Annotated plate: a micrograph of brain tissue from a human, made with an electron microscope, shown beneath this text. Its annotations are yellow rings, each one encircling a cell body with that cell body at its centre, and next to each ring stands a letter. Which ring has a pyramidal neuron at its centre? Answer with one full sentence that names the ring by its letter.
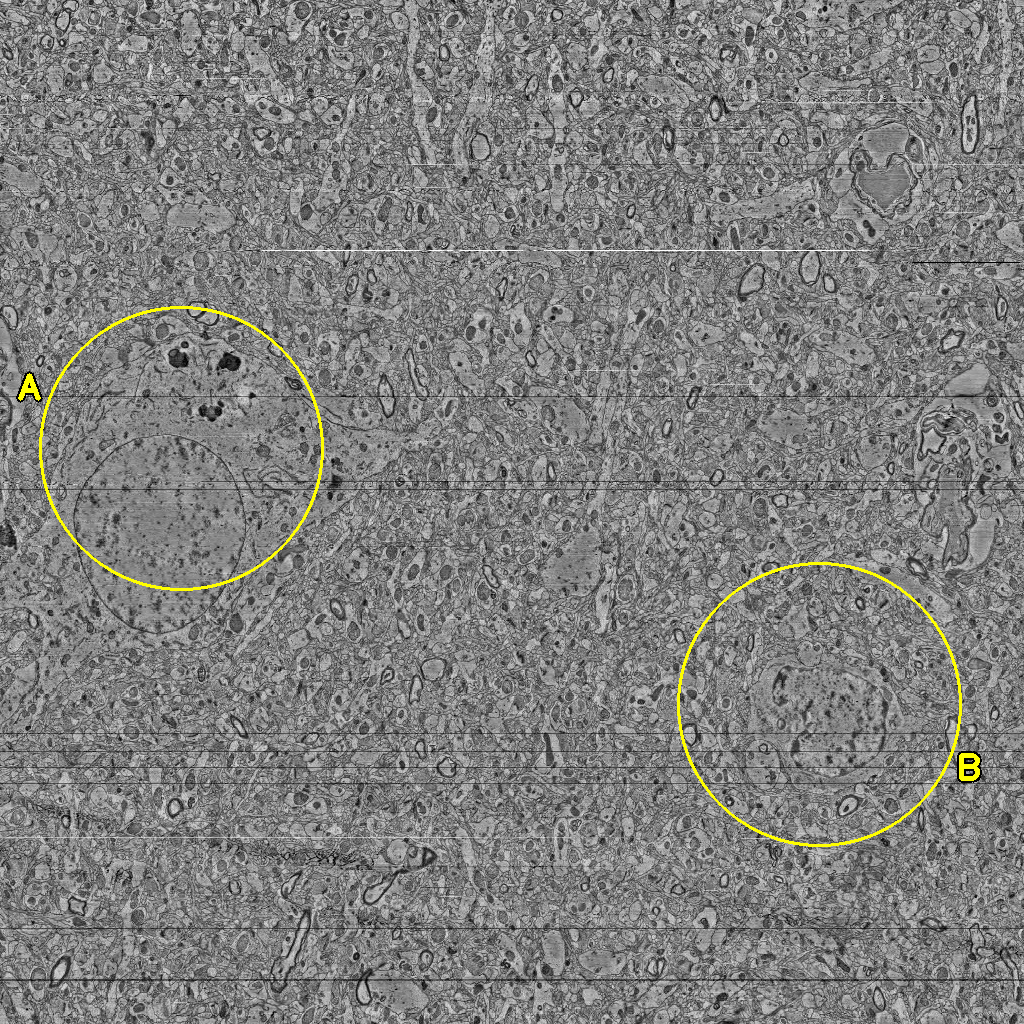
In the plate, ring A is the one centred on a cell of that kind.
